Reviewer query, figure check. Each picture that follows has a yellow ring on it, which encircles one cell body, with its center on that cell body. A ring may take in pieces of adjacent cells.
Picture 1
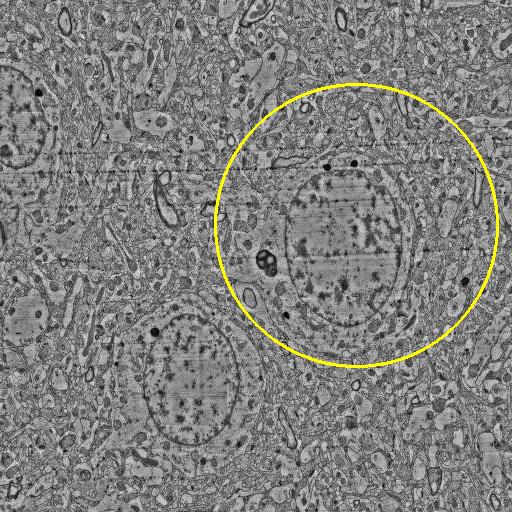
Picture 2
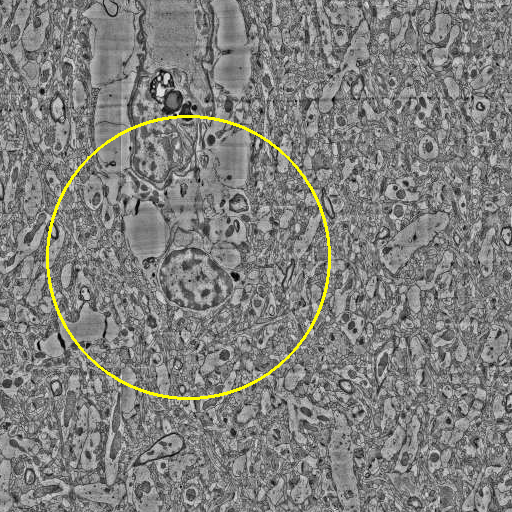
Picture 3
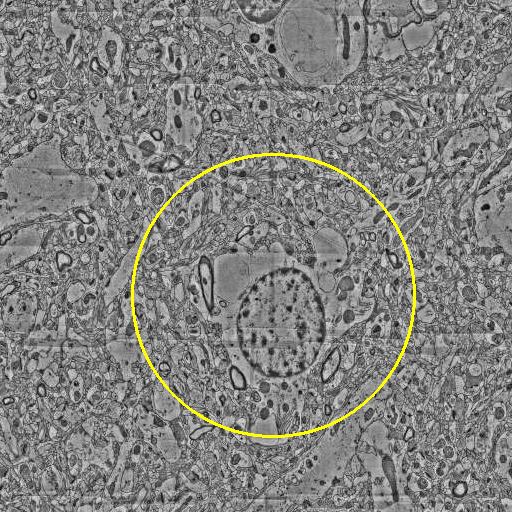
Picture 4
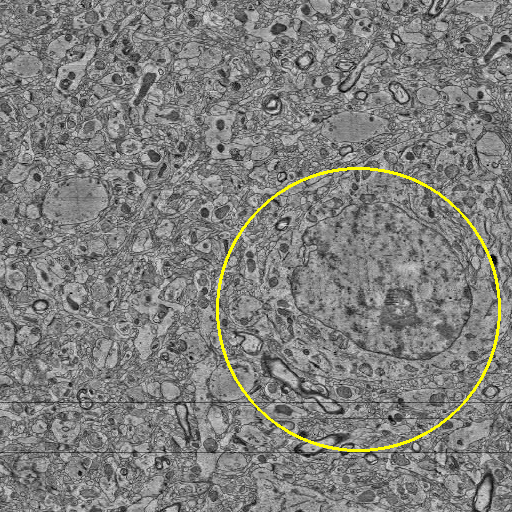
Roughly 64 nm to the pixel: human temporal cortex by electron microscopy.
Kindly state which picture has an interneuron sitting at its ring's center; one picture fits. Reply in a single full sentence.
In picture 4, the cell at the center of the ring is the requested one.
